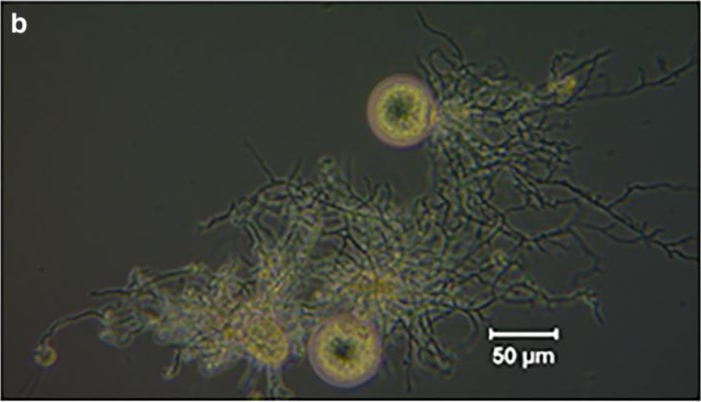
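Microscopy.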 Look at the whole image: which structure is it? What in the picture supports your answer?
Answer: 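Rhizoids. Many thin, branching, thread-like filaments spread across the field. The filaments taper and branch repeatedly toward their tips. Rounded bodies lie among and at the edges of the filament network.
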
